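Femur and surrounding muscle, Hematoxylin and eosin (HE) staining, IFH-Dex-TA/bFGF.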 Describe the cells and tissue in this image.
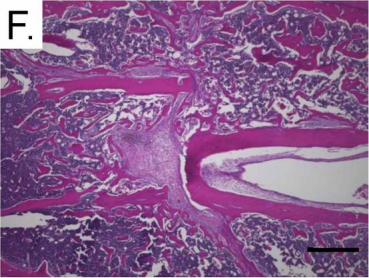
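Bands and plates of pink bone run through the field, separating pockets of purple, cell-rich marrow that is interrupted by small clear spaces. On the right a rounded, elongated empty cavity is bordered by a thick pink wall. A paler, loosely textured pinkish-purple area lies near the centre, next to the end of this cavity.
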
